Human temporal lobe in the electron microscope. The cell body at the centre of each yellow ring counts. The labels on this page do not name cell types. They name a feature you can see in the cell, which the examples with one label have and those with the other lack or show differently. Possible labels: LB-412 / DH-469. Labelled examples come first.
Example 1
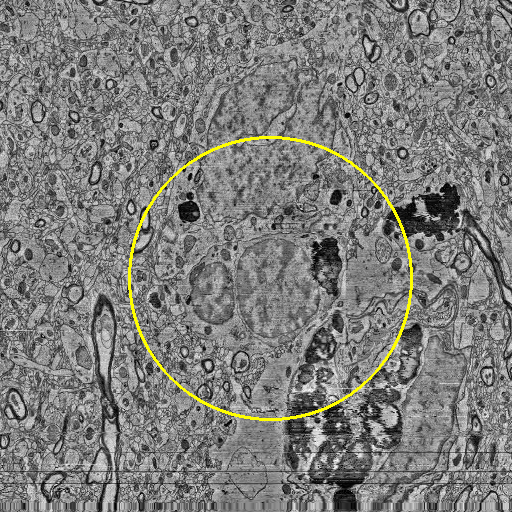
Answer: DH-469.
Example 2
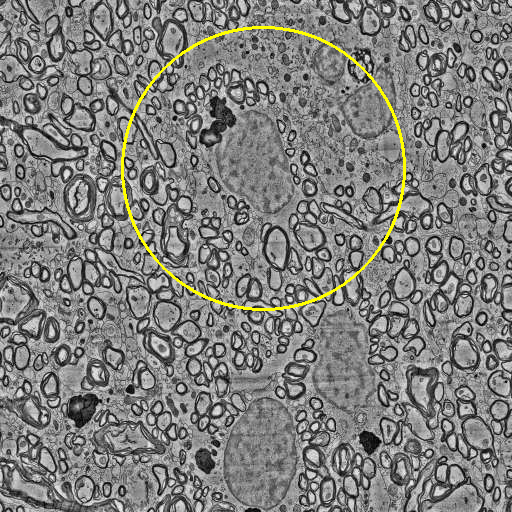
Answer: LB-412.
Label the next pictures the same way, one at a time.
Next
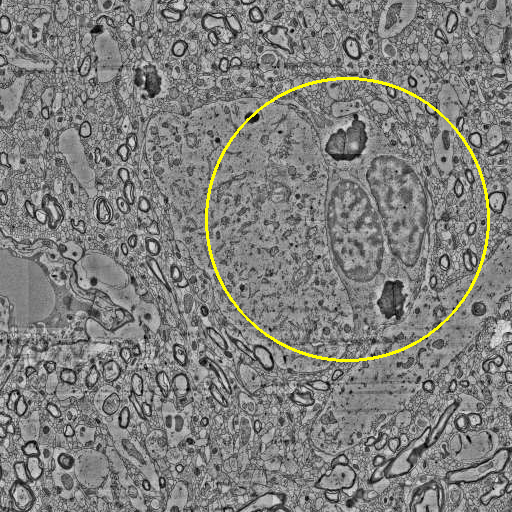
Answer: LB-412.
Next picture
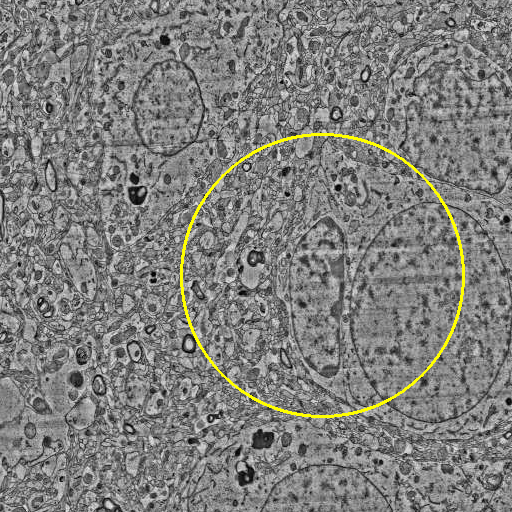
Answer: LB-412.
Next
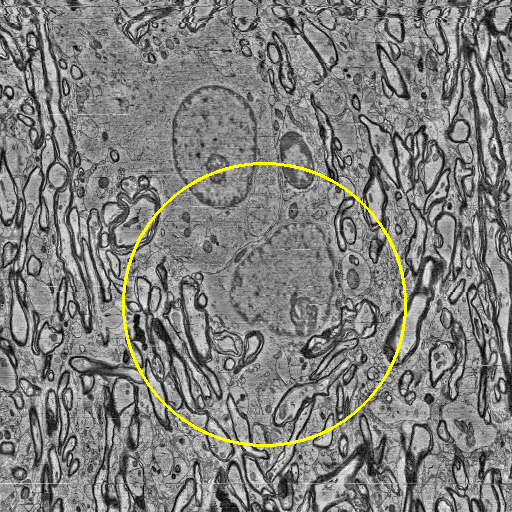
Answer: DH-469.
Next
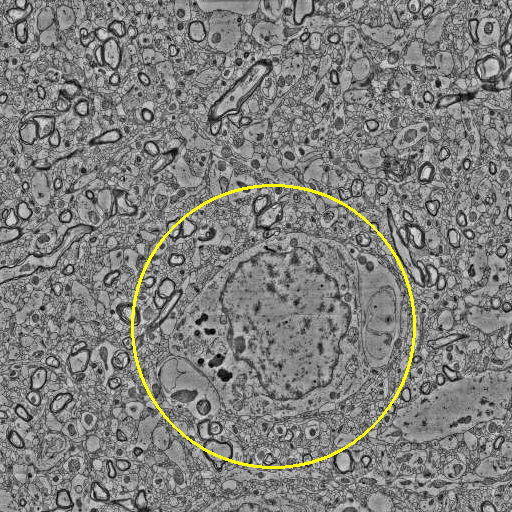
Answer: DH-469.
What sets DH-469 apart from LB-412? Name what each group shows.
DH-469, round or nearly round nuclei; LB-412, clearly elongated nuclei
